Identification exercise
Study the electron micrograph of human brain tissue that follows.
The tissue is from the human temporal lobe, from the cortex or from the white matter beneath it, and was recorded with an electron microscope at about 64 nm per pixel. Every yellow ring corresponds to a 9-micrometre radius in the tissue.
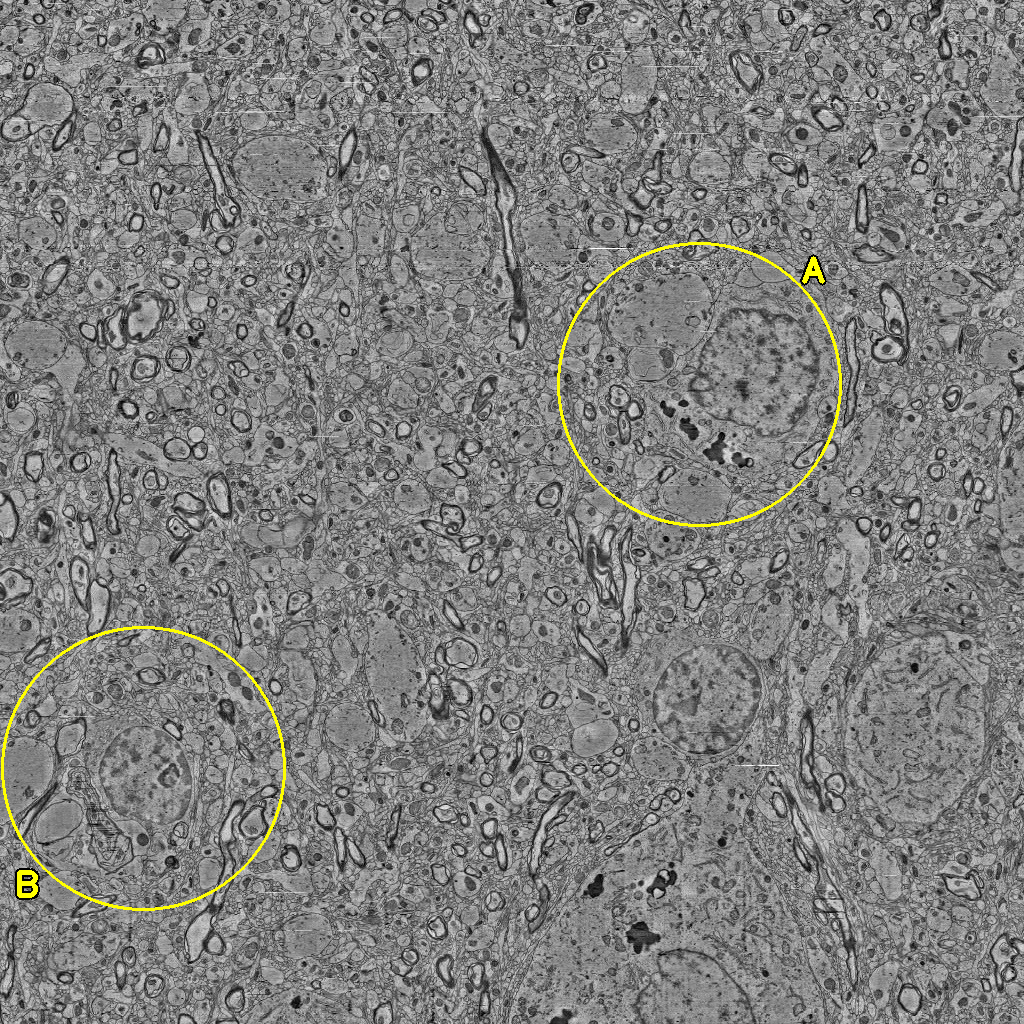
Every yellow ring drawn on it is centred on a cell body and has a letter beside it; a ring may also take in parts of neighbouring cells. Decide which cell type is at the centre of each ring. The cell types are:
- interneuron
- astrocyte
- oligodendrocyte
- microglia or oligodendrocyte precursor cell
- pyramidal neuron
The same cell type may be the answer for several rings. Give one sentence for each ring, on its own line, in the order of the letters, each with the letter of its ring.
Ring A encircles an interneuron.
Ring B encircles an oligodendrocyte.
